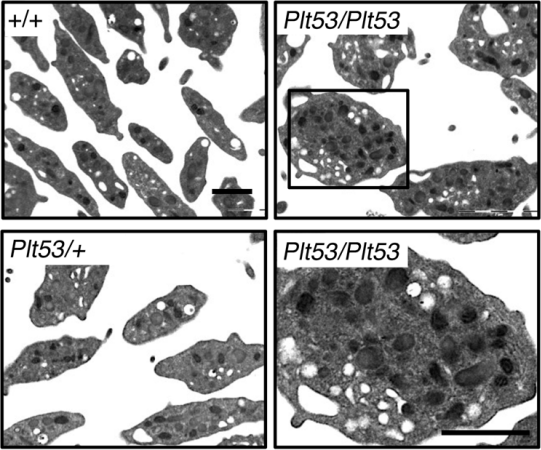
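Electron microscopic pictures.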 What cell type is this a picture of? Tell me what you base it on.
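Small cell profiles without a nucleus. Elongated to oval outlines. Cytoplasm holds dense dark granules and clear vesicles.
Conclusion: platelets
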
